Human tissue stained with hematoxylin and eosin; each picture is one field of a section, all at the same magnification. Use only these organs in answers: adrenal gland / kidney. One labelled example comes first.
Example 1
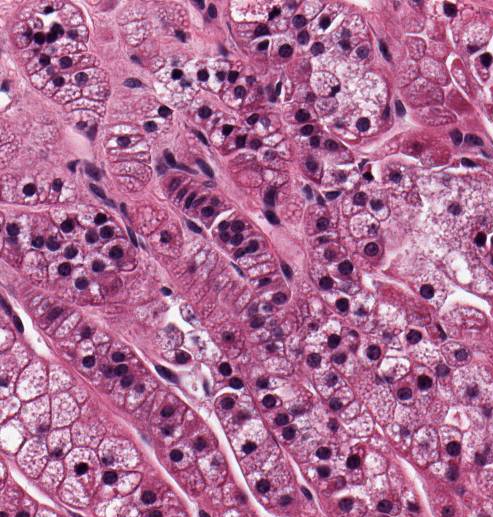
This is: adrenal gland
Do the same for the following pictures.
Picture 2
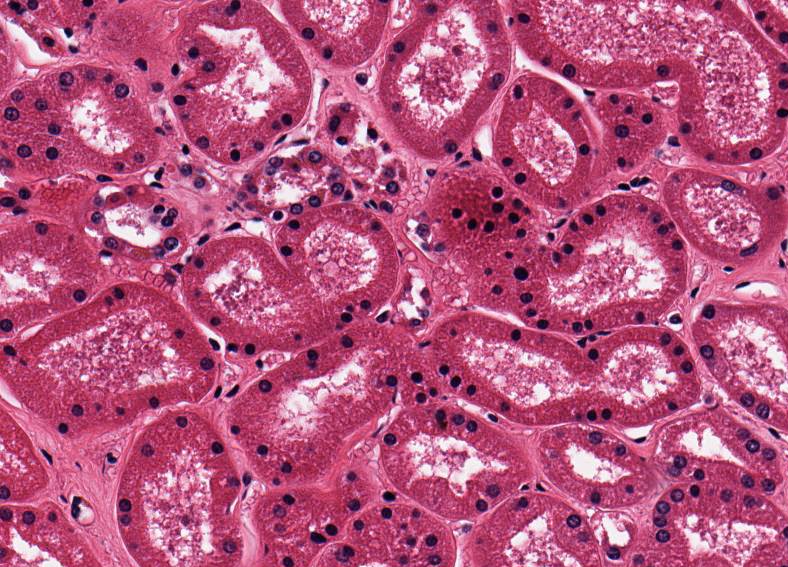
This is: kidney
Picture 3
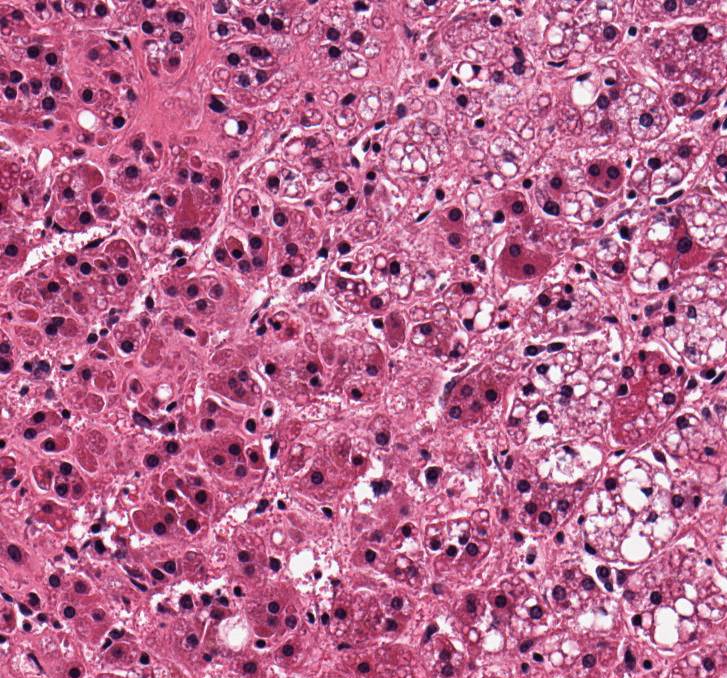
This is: adrenal gland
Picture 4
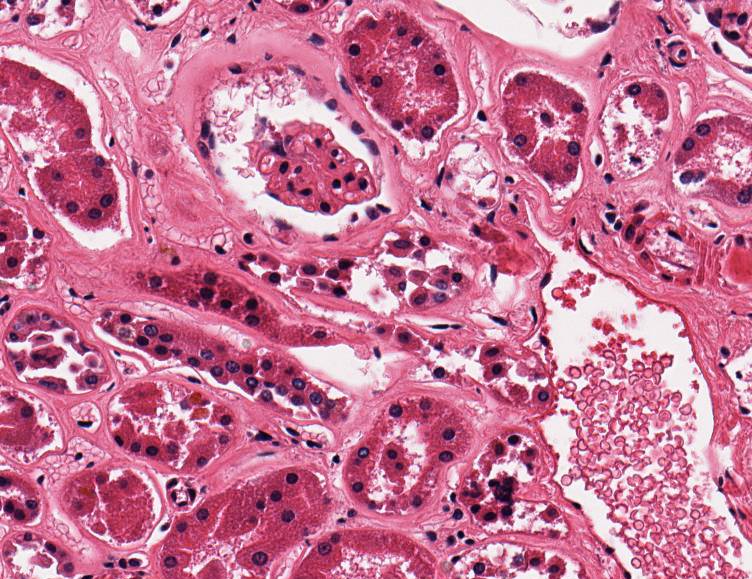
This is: kidney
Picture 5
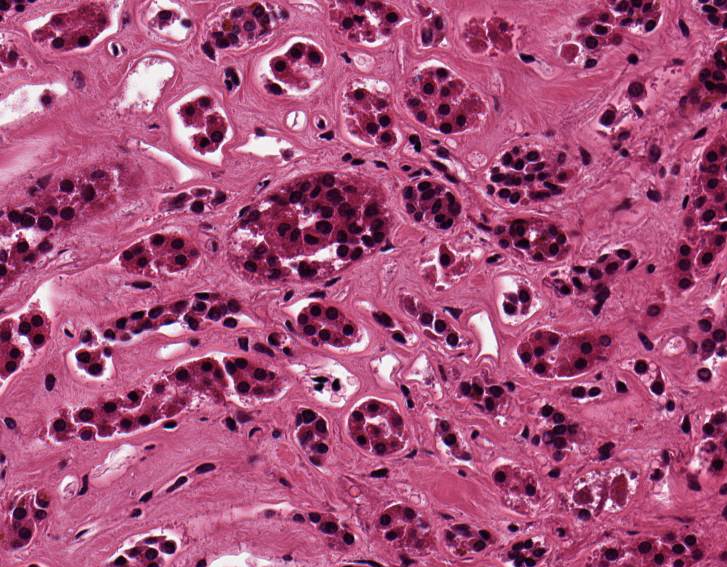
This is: kidney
